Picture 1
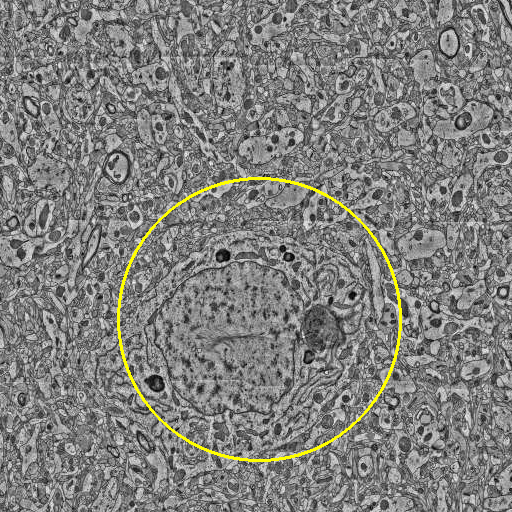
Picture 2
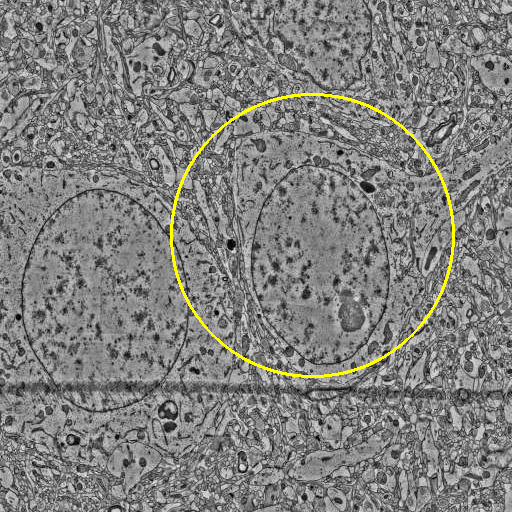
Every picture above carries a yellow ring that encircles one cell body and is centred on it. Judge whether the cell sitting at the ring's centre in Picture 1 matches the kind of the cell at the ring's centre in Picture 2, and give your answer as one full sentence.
No, the cells centred in the rings of Pictures 1 and 2 belong to two kinds.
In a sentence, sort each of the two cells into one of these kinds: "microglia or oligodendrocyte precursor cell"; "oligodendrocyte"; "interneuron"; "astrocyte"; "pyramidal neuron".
The first of the two cells is an interneuron, and the second is a pyramidal neuron.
